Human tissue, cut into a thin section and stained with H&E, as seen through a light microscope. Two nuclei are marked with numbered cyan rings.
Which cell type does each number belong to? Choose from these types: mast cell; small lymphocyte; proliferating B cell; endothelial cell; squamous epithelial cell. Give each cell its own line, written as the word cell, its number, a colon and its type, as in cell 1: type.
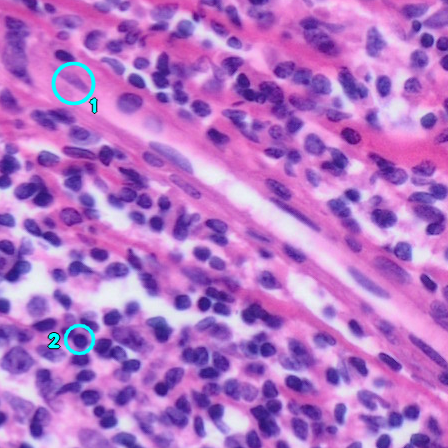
cell 1: endothelial cell
cell 2: small lymphocyte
